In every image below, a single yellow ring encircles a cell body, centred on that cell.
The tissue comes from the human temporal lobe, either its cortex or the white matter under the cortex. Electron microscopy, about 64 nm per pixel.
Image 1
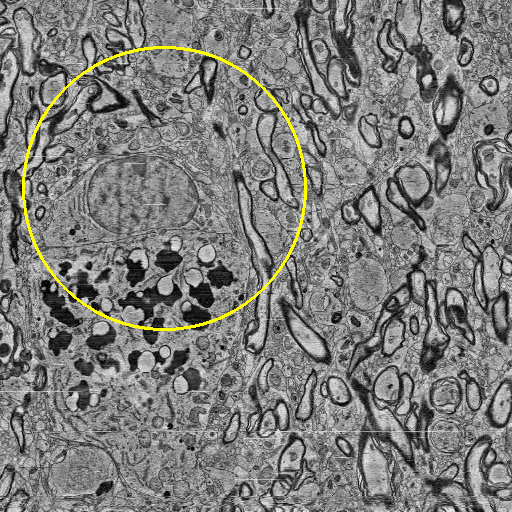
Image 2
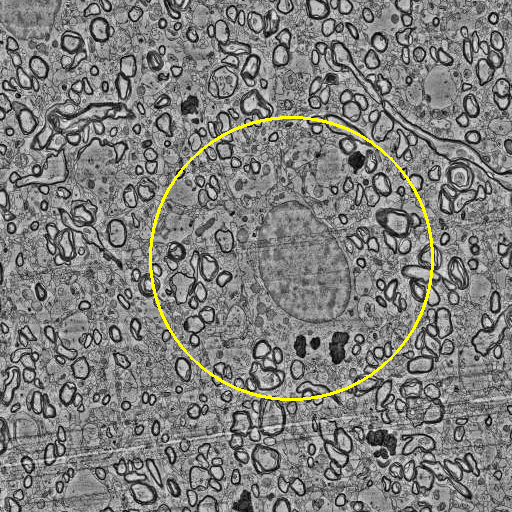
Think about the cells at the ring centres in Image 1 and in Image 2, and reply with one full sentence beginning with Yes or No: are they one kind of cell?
No, the cells centred in the rings of Image 1 and Image 2 are two kinds of cell.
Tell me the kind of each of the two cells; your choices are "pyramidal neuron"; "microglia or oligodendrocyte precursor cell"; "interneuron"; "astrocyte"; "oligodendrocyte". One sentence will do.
The ringed cell is a microglial cell or oligodendrocyte precursor cell in the first picture and an oligodendrocyte in the second picture.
